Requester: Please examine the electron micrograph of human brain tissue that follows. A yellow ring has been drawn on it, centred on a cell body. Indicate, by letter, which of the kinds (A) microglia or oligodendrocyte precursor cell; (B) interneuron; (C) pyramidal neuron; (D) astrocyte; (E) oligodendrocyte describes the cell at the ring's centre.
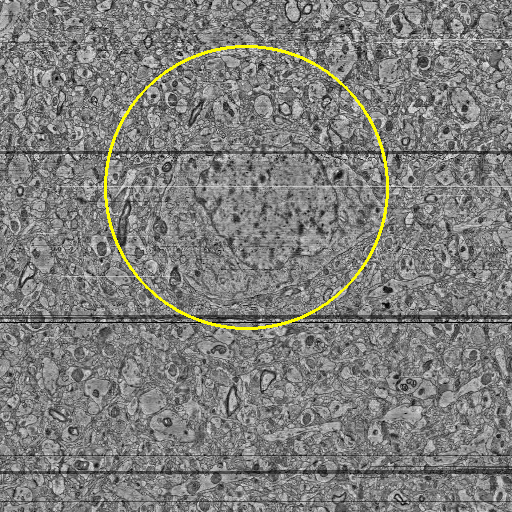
B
